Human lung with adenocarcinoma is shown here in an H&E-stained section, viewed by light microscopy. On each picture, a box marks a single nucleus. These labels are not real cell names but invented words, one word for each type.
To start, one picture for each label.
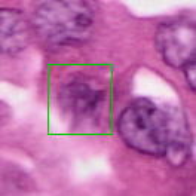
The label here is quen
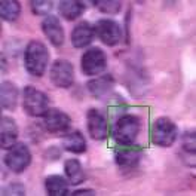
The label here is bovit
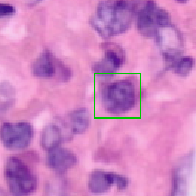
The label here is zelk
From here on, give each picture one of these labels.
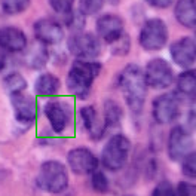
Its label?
bovit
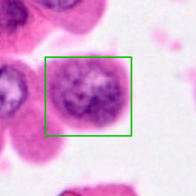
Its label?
quen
